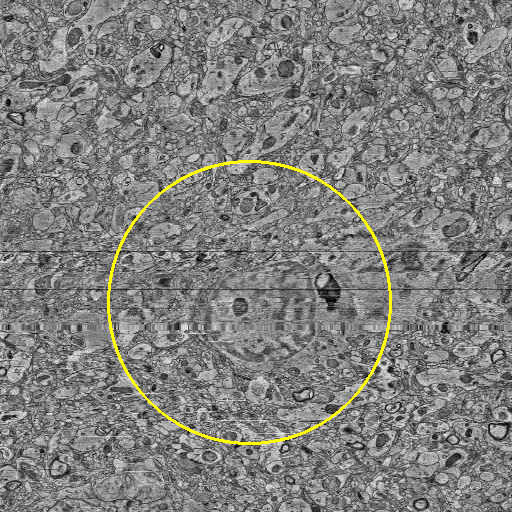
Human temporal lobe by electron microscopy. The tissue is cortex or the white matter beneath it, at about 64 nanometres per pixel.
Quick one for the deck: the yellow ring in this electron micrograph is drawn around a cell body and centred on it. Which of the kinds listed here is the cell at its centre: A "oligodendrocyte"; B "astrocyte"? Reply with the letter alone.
A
